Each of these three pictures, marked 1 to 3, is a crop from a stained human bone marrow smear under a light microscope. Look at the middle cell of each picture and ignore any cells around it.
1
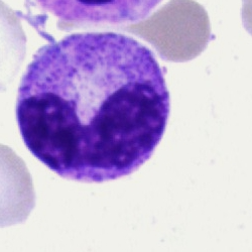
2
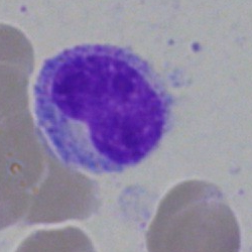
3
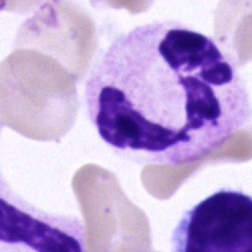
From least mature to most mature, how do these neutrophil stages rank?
2, 1, 3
